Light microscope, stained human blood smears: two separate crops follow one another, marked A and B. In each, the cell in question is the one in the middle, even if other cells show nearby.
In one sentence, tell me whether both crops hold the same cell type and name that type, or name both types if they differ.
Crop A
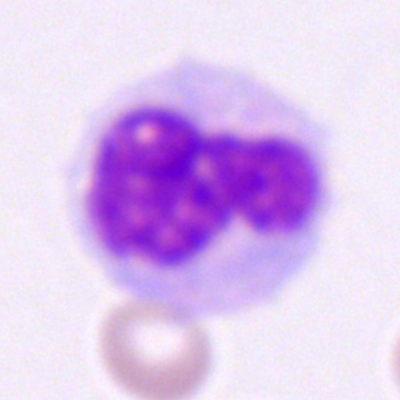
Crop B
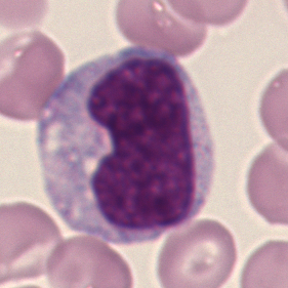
Yes, the two central cells, one per crop, are monocytes.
